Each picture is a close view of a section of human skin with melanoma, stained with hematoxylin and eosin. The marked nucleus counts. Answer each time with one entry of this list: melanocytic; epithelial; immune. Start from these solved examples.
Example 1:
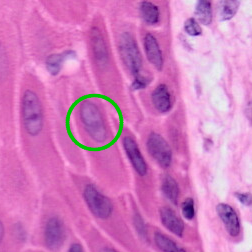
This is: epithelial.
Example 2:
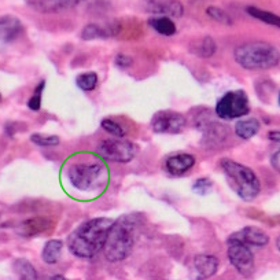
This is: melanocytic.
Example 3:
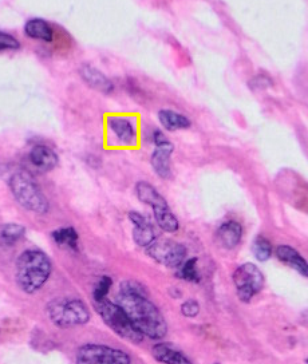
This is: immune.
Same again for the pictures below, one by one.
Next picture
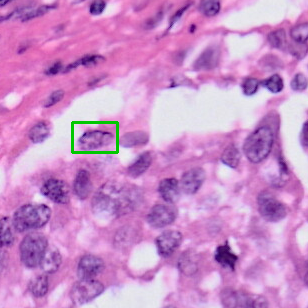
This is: immune.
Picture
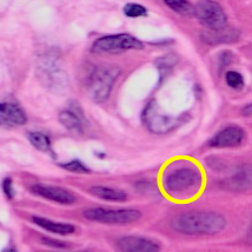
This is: epithelial.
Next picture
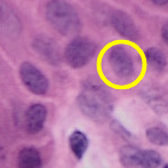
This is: epithelial.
